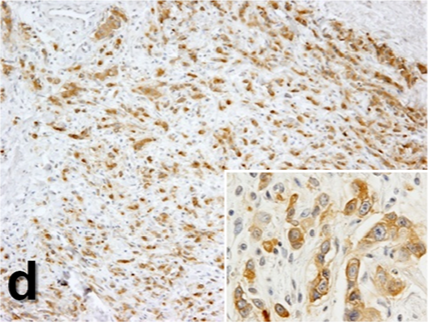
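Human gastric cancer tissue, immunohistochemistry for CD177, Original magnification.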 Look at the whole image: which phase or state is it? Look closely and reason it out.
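Tumour cells are scattered singly and in small clusters in stroma, without glands. That points to this answer: poorly-differentiated.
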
